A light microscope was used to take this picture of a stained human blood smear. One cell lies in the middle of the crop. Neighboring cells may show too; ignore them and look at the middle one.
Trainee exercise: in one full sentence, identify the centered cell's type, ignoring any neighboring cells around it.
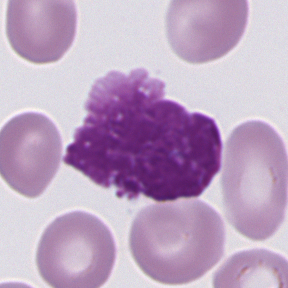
This crop is built around a smudge cell at its centre.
